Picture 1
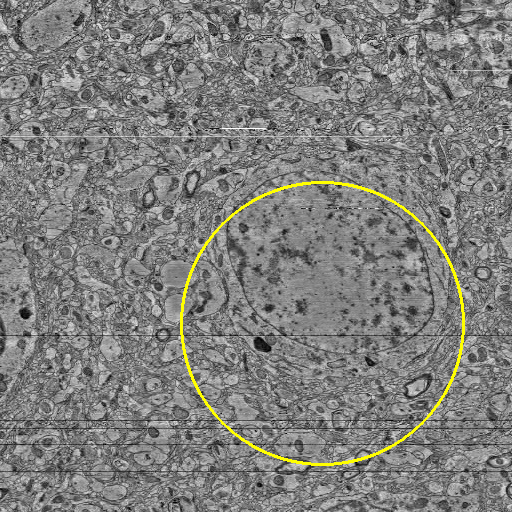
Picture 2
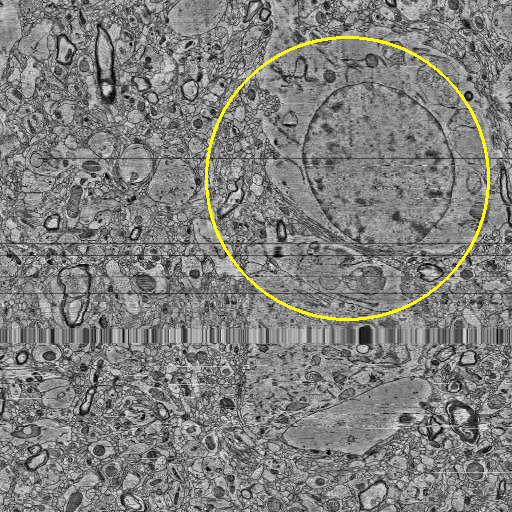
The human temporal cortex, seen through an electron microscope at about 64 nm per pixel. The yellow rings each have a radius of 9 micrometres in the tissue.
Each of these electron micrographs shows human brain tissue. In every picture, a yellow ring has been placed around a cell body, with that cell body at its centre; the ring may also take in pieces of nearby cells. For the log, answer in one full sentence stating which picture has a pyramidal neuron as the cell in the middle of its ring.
In picture 1, the cell at the centre of the yellow ring is the requested one.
